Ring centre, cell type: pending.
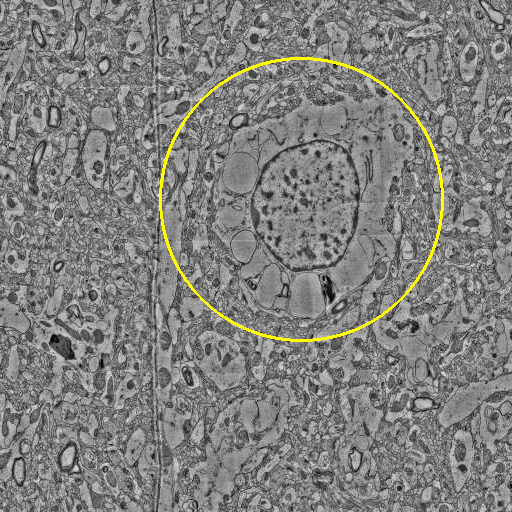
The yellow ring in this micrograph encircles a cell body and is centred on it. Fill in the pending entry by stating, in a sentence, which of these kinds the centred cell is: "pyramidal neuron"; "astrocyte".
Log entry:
The centred cell is recorded as an astrocyte.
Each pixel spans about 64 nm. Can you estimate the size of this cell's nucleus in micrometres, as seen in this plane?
About 9 micrometres by about 7 micrometres in this plane.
